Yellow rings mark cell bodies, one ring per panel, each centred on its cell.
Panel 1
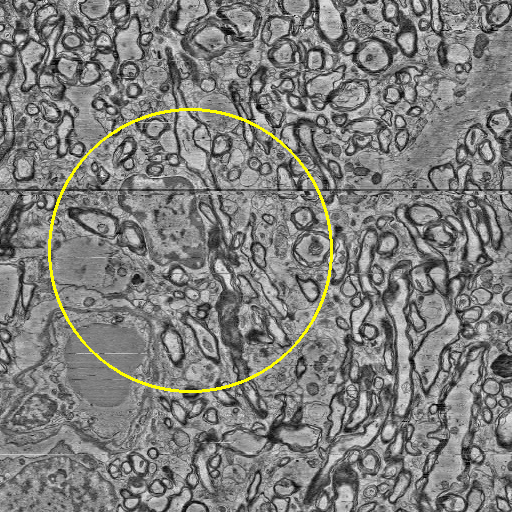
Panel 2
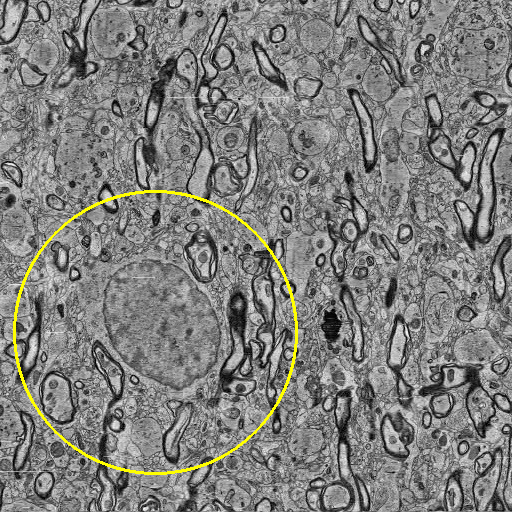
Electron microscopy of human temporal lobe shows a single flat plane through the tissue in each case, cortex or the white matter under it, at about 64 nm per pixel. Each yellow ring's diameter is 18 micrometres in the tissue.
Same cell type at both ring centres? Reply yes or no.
no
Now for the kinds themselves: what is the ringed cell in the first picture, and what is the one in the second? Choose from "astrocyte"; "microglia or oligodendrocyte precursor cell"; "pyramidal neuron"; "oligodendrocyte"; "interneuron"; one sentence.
Here the first cell is a microglial cell or oligodendrocyte precursor cell and the second cell is an oligodendrocyte.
